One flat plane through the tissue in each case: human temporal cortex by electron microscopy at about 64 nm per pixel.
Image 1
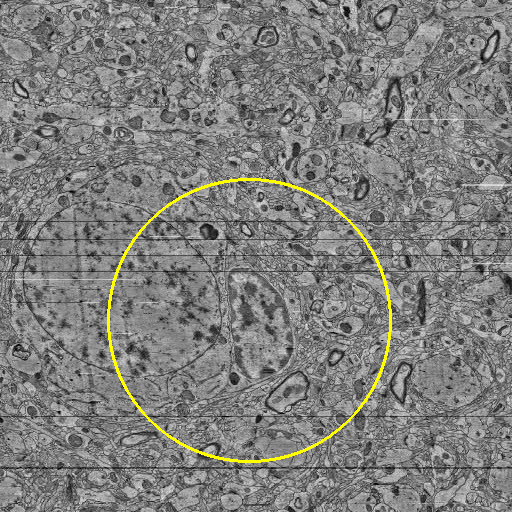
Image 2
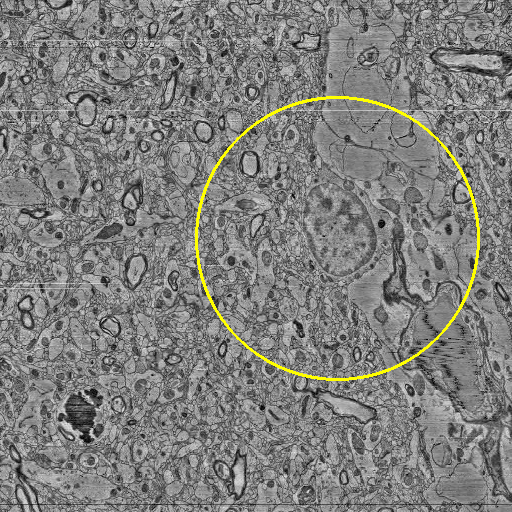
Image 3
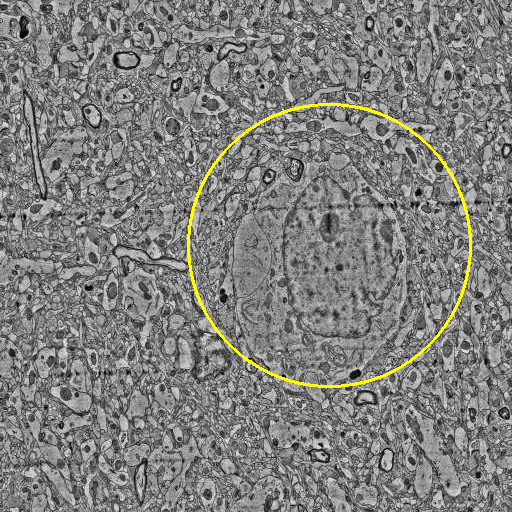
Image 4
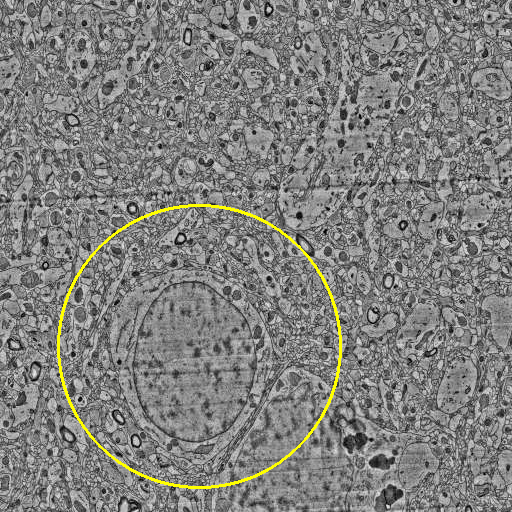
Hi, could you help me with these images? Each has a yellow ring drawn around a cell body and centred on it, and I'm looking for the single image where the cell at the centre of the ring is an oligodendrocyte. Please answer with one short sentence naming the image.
It is Image 2 that has it at the centre of its ring.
